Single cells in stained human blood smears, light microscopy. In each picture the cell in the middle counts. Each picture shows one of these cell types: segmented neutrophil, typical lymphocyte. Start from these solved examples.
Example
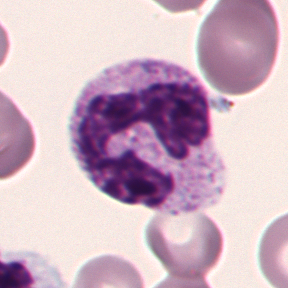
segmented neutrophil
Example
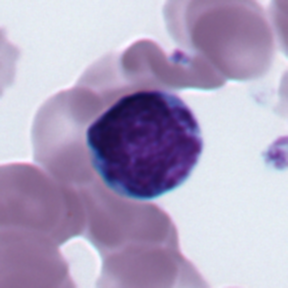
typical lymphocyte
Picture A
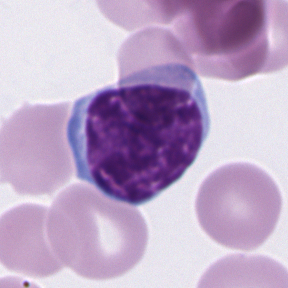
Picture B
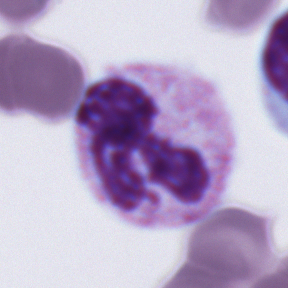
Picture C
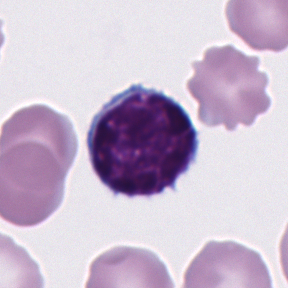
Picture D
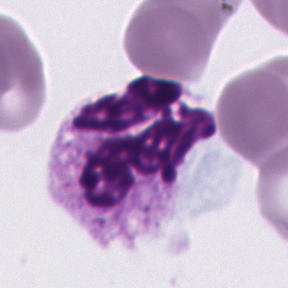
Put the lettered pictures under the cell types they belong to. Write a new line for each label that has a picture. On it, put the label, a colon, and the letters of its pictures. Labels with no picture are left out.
segmented neutrophil: B, D
typical lymphocyte: A, C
